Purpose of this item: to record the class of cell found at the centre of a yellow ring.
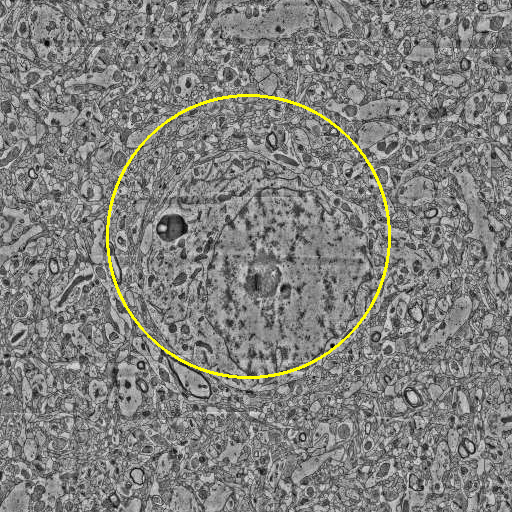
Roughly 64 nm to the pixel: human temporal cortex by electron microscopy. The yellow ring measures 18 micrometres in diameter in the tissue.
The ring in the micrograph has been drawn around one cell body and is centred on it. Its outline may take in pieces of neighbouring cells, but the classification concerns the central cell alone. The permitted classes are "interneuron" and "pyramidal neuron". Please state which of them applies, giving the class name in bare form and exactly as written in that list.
interneuron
